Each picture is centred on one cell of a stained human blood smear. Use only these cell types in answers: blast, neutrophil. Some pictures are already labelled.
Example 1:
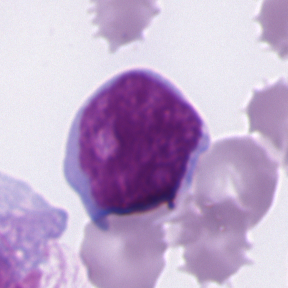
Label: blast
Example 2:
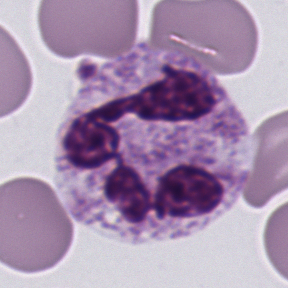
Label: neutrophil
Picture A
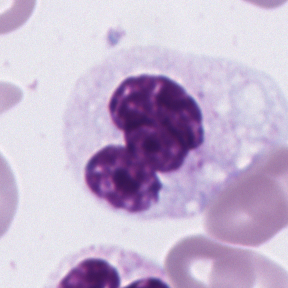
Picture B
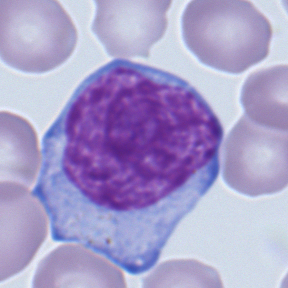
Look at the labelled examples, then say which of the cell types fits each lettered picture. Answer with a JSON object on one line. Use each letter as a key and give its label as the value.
{"A": "neutrophil", "B": "blast"}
